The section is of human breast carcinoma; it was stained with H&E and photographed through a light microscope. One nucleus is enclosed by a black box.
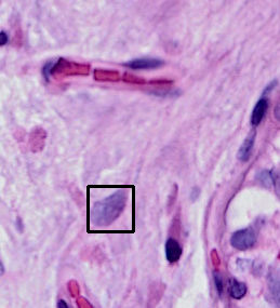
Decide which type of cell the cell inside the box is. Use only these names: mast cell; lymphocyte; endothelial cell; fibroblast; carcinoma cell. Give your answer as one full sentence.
The classification of the cell inside the box is as a fibroblast.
